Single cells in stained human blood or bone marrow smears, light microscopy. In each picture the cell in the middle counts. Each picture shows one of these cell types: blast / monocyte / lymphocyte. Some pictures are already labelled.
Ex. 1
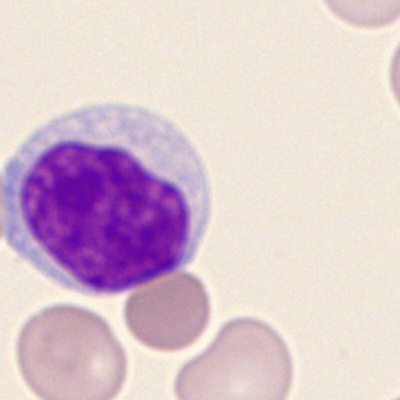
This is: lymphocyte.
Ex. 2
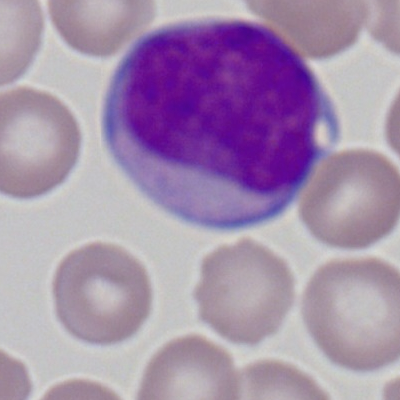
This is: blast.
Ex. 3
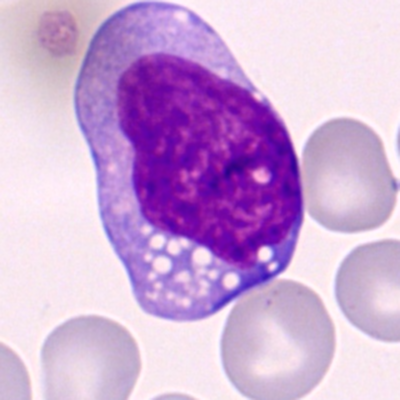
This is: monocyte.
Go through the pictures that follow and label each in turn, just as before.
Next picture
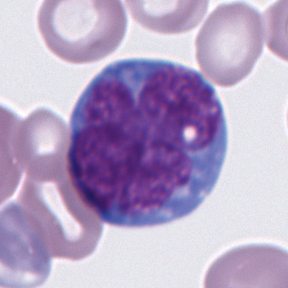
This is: blast.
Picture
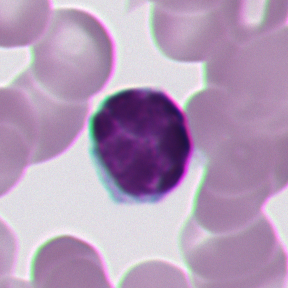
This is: lymphocyte.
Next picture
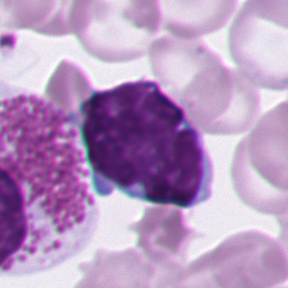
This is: lymphocyte.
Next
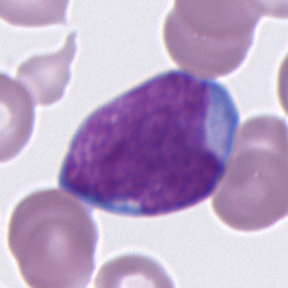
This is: blast.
